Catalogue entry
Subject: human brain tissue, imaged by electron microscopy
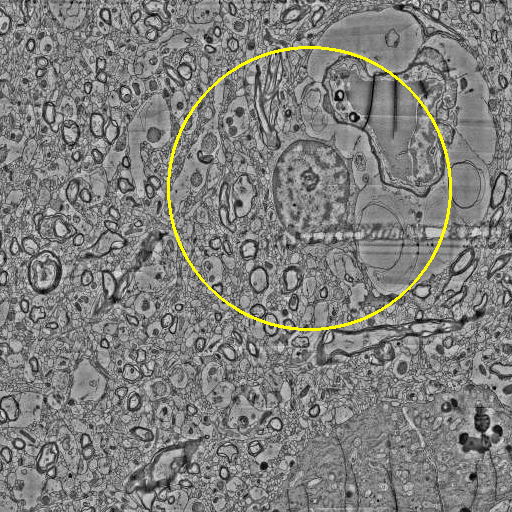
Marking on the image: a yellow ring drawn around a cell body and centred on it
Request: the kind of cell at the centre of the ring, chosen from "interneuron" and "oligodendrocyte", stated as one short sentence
The ring has an oligodendrocyte at its centre.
